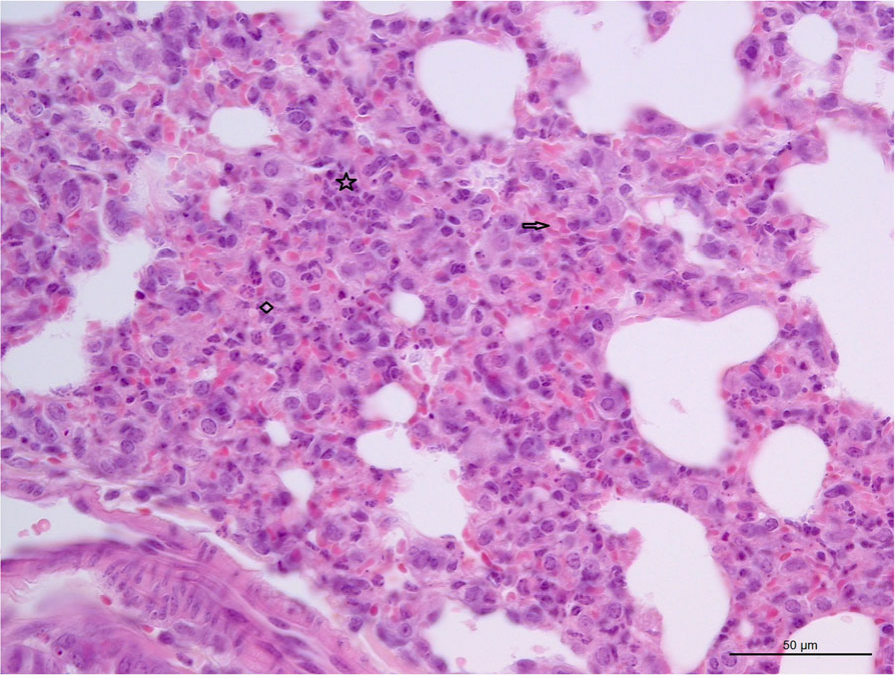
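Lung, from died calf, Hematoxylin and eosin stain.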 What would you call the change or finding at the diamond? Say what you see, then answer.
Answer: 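The walls between air spaces are broad and packed with cells. That points to this answer: Alveoli septum thickening.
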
